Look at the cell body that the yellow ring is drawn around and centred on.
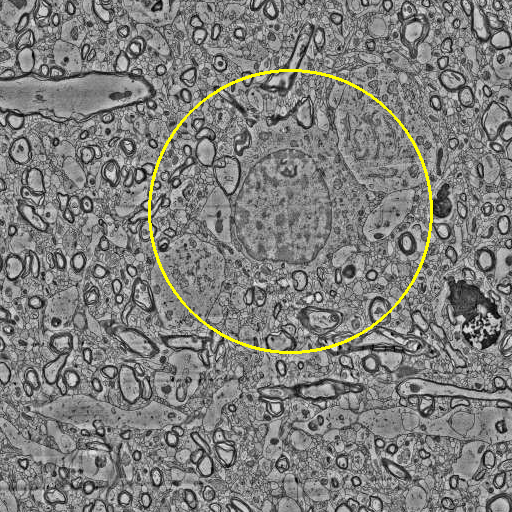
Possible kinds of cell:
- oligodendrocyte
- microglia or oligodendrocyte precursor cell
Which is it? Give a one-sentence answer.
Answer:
The centred cell body is that of an oligodendrocyte.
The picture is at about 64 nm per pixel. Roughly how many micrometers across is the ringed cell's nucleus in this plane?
Roughly 7 micrometers across, in this plane.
